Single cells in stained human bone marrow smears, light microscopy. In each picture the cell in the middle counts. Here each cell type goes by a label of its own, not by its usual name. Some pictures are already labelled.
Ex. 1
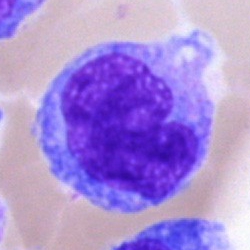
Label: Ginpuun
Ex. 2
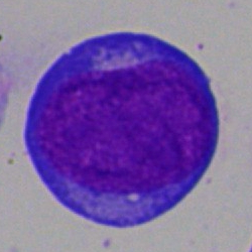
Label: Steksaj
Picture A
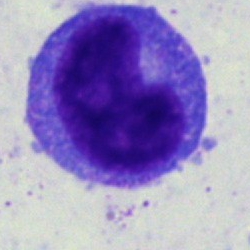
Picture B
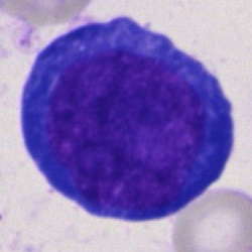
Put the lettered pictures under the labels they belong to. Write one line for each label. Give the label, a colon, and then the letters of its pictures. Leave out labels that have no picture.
Ginpuun: A
Steksaj: B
